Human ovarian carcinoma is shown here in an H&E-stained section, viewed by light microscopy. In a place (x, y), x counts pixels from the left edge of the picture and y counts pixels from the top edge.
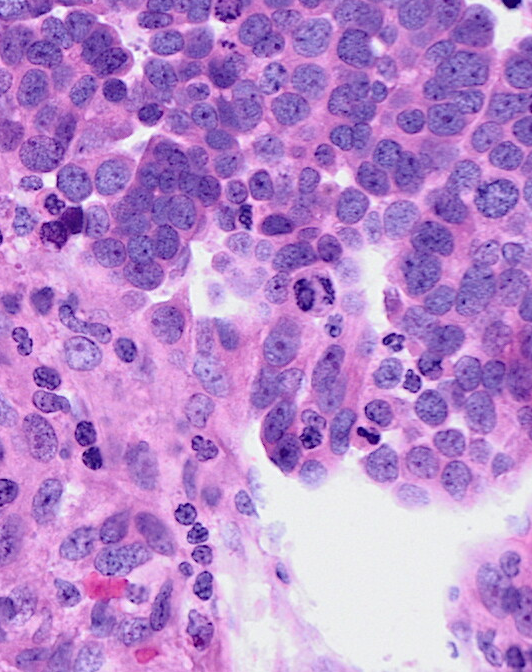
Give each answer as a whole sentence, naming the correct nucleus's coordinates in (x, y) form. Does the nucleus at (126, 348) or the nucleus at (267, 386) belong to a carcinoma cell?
The nucleus at (267, 386), rather than the other, belongs to a carcinoma cell.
